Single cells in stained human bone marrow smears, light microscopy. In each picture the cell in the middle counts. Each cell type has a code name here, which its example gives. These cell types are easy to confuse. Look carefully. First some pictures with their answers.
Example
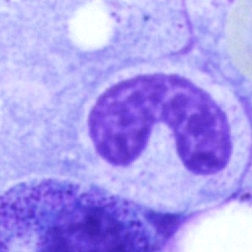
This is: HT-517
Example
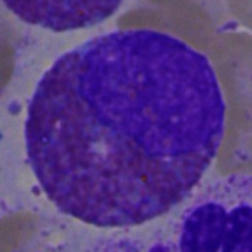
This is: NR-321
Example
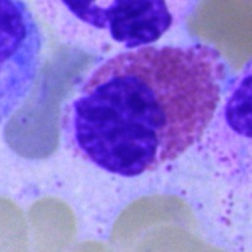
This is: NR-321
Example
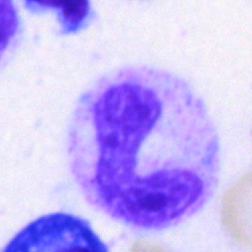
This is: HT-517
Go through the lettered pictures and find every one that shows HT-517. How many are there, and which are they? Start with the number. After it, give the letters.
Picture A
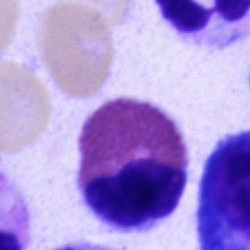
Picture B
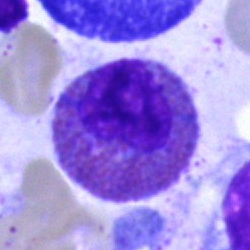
0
